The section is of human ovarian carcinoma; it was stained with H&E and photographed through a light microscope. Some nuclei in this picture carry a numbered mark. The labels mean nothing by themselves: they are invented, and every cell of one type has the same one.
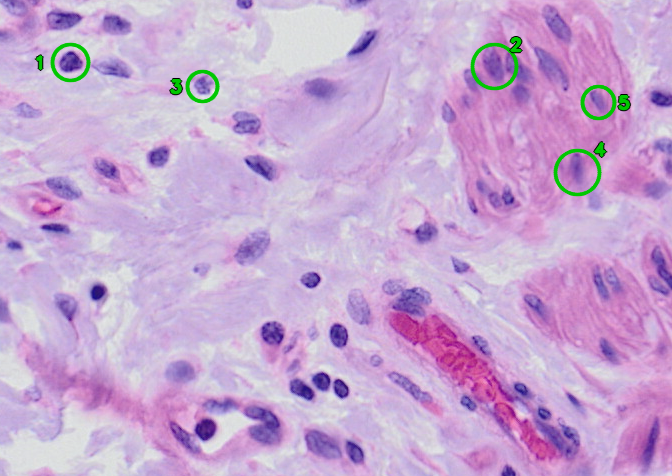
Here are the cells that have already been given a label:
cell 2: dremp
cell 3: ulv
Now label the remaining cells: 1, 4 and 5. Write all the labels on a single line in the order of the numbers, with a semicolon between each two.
ulv; dremp; dremp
